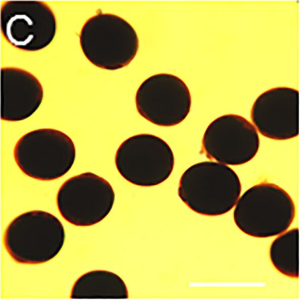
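Scattered across a pale yellow field lie a dozen or so separate round pollen grains, all of much the same size. Each grain is filled evenly with a very dark, nearly black stain, so that no inner detail can be made out; only a thin paler rim marks the edge of some of them.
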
